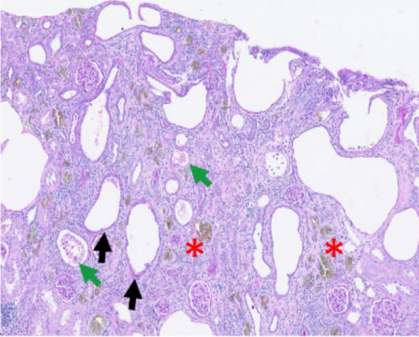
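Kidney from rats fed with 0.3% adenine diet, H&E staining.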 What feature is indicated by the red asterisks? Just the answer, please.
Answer: crystal deposition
